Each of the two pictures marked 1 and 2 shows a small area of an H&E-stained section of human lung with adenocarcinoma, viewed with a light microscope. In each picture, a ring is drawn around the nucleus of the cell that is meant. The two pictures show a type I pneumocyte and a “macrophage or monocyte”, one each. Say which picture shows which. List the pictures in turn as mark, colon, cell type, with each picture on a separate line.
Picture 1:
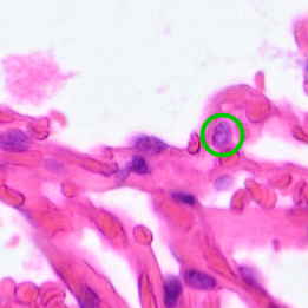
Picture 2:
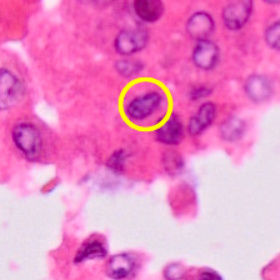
1: type I pneumocyte
2: macrophage or monocyte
